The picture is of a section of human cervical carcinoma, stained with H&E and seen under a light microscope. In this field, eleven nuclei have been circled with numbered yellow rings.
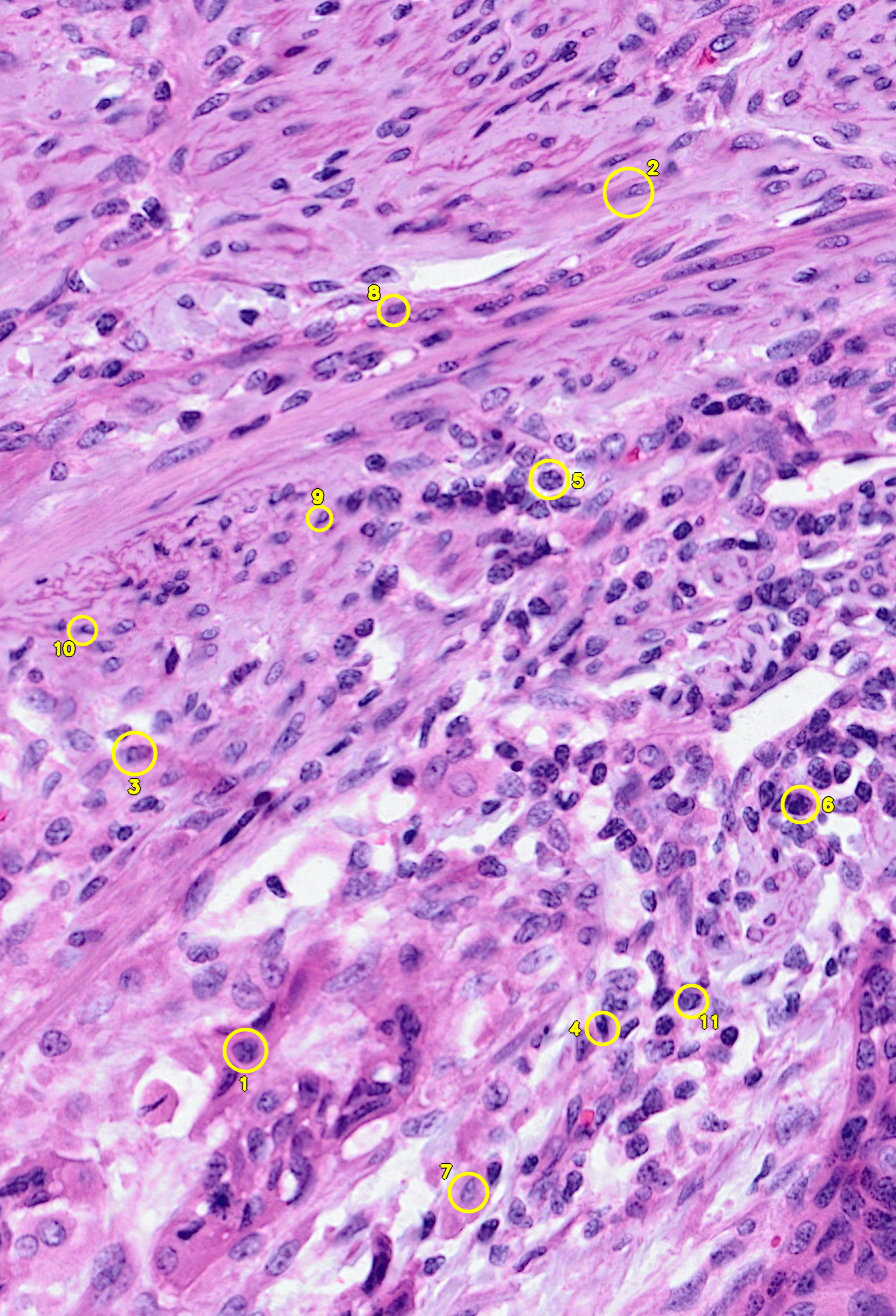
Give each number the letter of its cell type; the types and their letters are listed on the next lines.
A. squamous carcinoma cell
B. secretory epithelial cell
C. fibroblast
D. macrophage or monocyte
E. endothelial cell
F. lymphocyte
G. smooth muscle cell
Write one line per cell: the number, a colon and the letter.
1: A
2: G
3: D
4: F
5: F
6: F
7: E
8: E
9: G
10: G
11: F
